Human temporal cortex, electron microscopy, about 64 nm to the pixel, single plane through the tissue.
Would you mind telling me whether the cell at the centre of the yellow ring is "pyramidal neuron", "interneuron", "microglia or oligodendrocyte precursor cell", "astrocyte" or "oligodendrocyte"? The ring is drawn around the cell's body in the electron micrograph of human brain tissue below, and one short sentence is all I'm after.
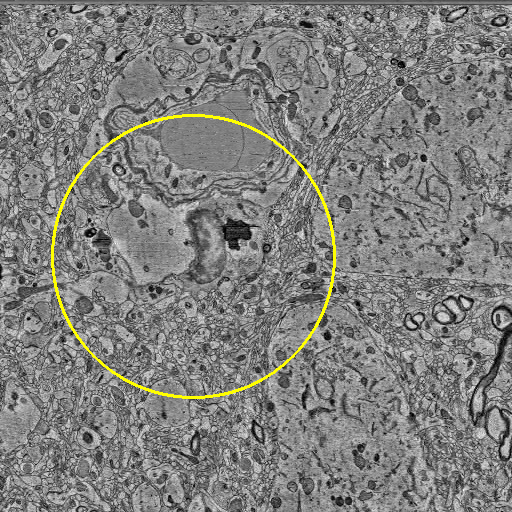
In the centre of the ring lies an oligodendrocyte.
